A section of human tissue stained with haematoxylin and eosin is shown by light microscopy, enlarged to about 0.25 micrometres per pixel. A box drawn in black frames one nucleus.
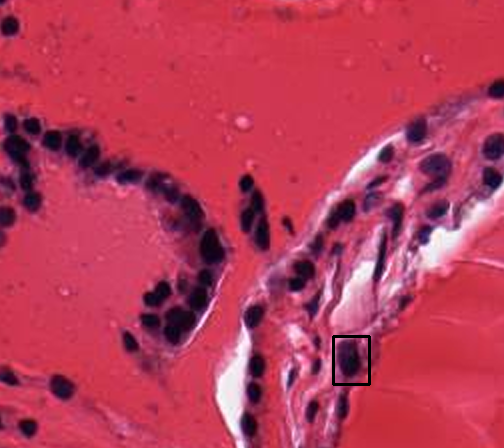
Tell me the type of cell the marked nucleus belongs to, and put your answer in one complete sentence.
Located in a thyroid follicular cell is the marked nucleus.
